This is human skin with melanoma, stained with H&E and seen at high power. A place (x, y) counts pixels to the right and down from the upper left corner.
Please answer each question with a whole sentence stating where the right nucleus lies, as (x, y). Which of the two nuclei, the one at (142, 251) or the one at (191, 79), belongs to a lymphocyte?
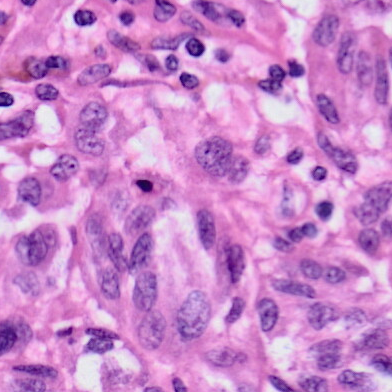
Of the two nuclei present, the one at (191, 79) is within a lymphocyte.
